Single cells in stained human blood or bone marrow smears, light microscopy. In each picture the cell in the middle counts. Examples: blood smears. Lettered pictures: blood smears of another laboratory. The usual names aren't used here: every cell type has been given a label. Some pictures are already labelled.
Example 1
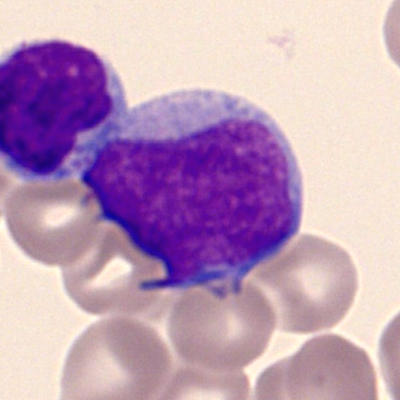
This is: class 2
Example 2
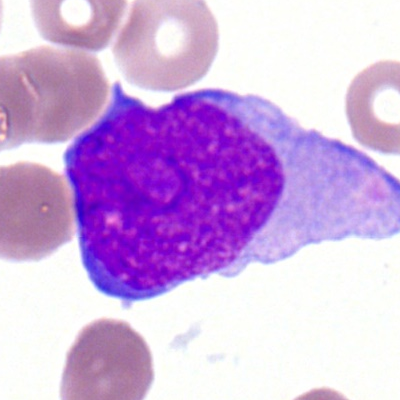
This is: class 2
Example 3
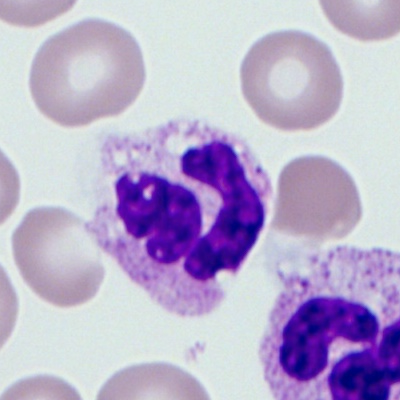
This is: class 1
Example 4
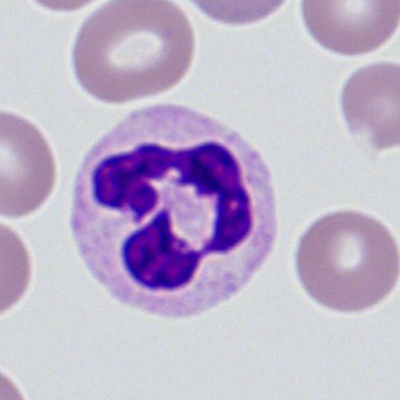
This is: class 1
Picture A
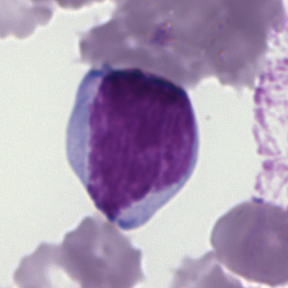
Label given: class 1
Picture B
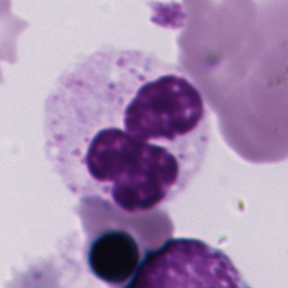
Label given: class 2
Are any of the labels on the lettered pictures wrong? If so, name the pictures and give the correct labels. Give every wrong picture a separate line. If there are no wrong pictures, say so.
A should be class 2, not class 1
B should be class 1, not class 2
